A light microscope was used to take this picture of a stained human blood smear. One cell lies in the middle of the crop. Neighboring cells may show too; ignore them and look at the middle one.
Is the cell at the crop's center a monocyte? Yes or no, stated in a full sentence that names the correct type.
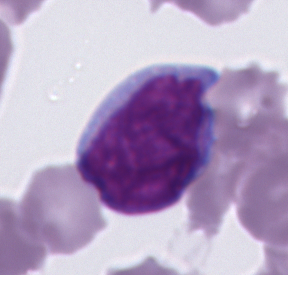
No, at the centre of this crop is found a myeloblast instead of a monocyte.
